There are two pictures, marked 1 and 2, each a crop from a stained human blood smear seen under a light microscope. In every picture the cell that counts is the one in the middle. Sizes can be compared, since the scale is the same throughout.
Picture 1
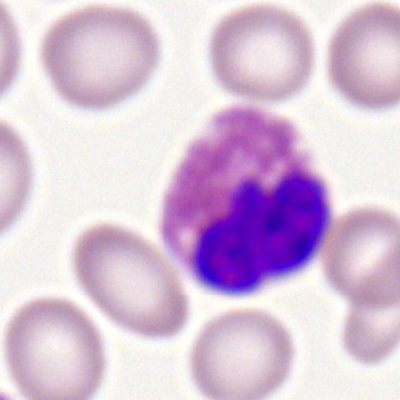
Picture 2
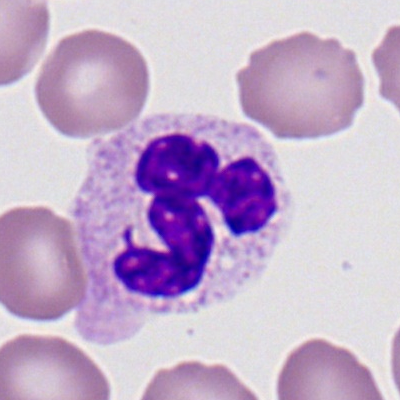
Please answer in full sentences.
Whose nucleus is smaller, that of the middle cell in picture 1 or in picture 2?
Smaller is the nucleus in picture 1, and the other is about 1.5 times as large in area.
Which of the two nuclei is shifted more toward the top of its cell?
The nucleus in picture 2 lies further toward the top of its cell.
